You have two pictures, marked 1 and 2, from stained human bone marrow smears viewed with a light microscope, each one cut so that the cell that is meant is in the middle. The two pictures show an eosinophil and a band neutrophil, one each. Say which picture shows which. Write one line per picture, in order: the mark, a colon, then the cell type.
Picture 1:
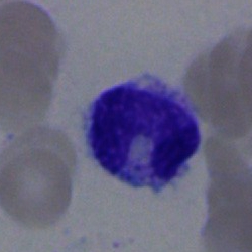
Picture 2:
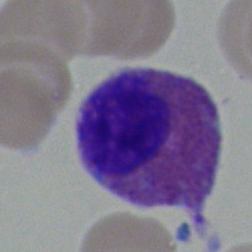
1: band neutrophil
2: eosinophil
